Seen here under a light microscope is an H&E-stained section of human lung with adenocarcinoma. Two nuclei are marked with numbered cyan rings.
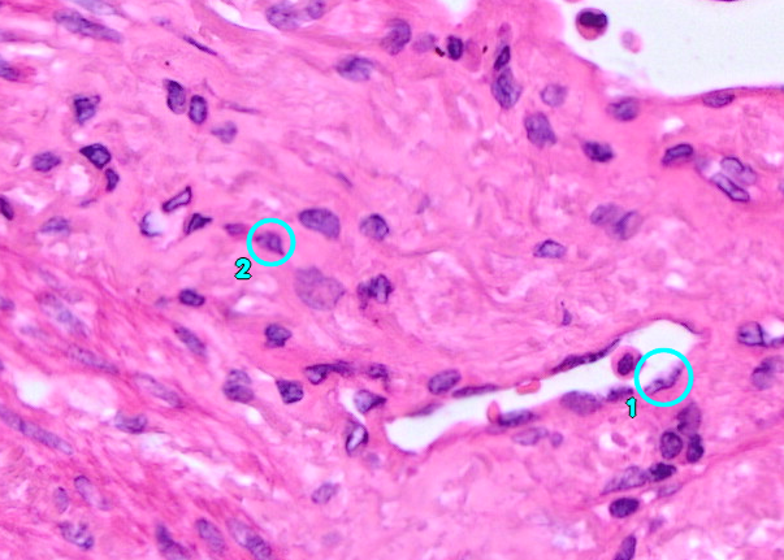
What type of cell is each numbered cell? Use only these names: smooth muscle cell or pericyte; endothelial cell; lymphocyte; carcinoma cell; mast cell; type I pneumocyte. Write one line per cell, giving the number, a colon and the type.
1: endothelial cell
2: mast cell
